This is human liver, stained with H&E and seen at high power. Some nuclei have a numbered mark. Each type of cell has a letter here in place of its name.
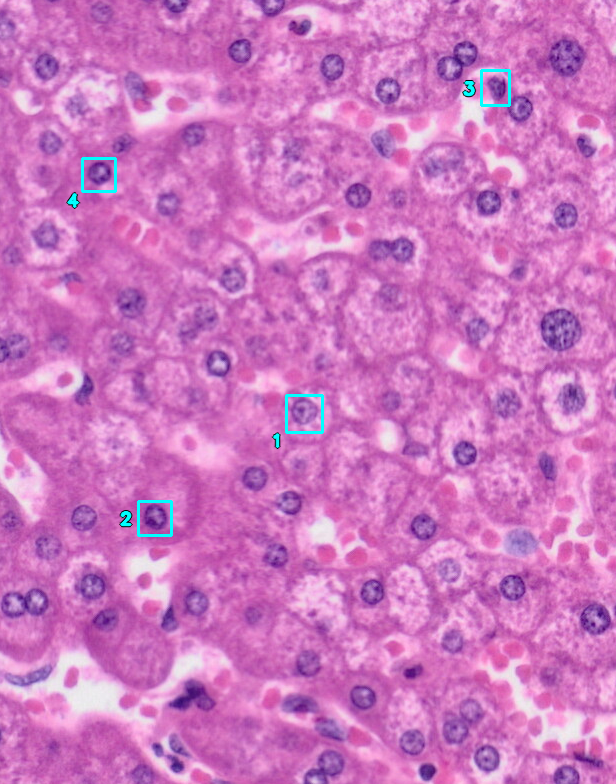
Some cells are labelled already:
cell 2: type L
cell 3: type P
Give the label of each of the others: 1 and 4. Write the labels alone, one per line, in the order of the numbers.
type L
type L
